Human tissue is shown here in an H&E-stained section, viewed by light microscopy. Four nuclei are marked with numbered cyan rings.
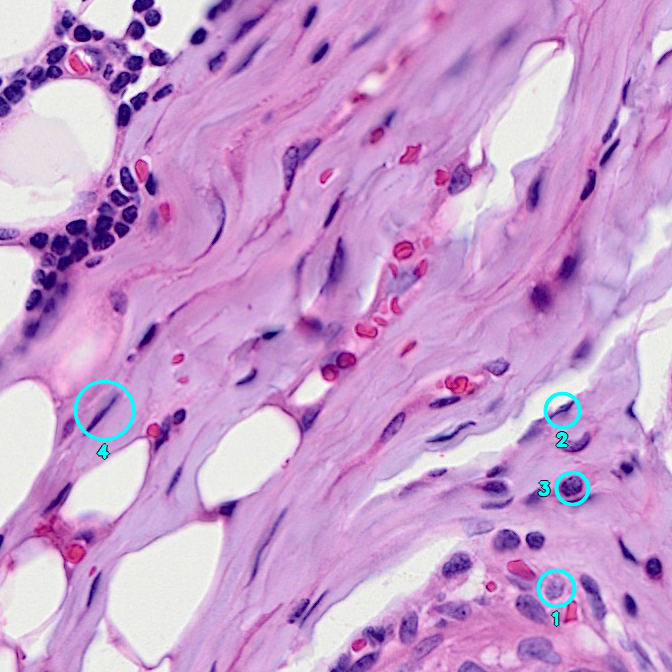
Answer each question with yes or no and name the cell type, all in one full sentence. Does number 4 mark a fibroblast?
Yes, regarding number 4, the cell is a fibroblast.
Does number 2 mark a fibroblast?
Yes, the cell carrying number 2 is a fibroblast.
